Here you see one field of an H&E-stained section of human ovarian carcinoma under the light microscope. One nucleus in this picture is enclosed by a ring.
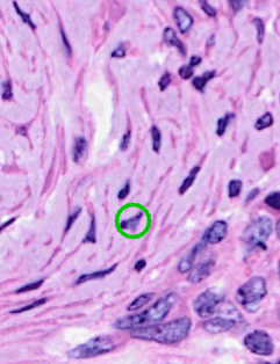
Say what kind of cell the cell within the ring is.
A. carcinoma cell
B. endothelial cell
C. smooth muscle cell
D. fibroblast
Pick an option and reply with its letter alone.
D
